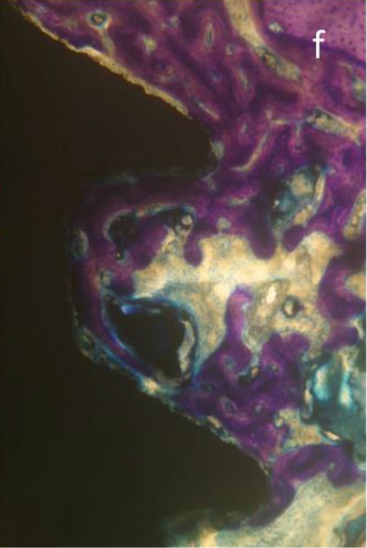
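Trabecular bone with osteocytes lies against the thread of an opaque black implant at the left. Deep purple bone strands branch and interconnect close to the implant surface, enclosing pale yellowish spaces between them. Small lacunae with dark cells are embedded within the purple matrix. A rounded empty space rimmed with blue-stained material lies within the pale area.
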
